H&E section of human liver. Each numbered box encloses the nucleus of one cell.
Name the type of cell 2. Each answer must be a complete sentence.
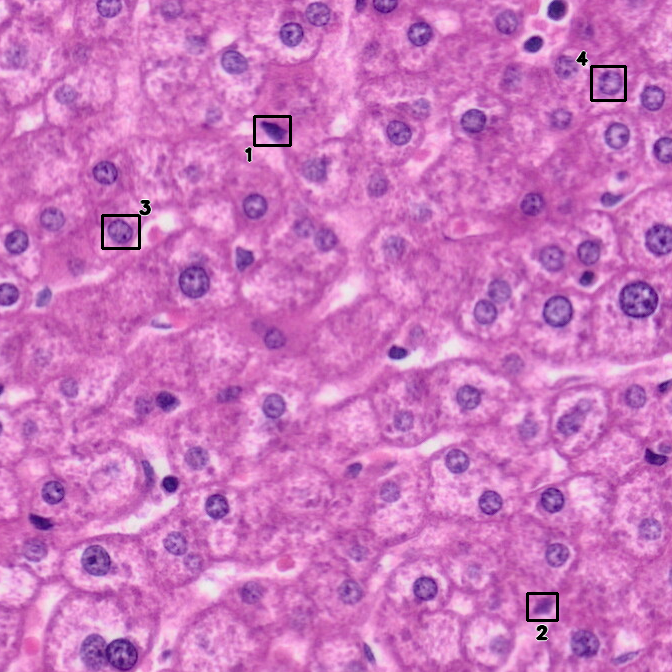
What the number 2 marks in this field is an endothelial cell.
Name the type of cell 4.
In the marked set, the cell given number 4 is a hepatocyte.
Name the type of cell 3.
In the tissue shown, cell 3 is a hepatocyte.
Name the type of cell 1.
What the number 1 marks in this field is a fibroblast or stellate cell.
